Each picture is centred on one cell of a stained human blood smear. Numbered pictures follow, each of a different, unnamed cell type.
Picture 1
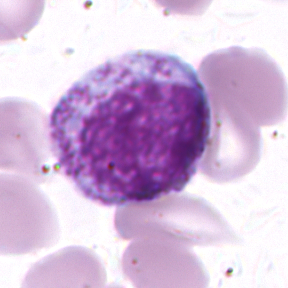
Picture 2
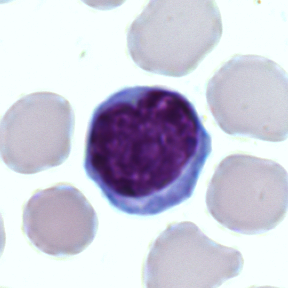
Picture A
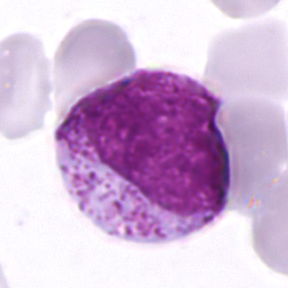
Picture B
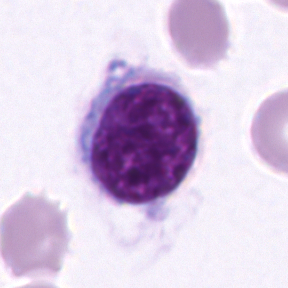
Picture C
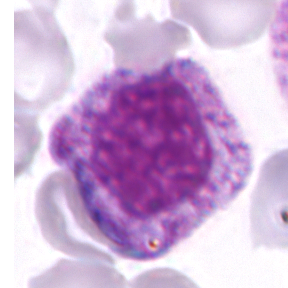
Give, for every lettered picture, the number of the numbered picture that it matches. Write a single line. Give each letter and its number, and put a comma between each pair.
A 1, B 2, C 1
